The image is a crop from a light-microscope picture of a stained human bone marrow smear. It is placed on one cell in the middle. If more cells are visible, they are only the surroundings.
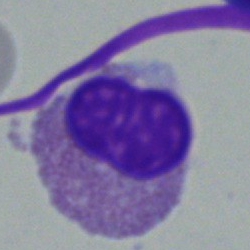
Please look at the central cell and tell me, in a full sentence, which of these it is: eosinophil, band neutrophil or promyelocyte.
The cell that lies at the centre of the crop is an eosinophil.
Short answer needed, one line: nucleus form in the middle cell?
What stands out is a nucleus forming one compact round, oval or kidney-shaped mass.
